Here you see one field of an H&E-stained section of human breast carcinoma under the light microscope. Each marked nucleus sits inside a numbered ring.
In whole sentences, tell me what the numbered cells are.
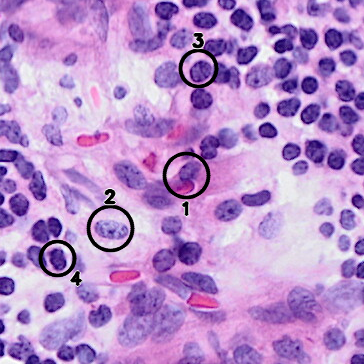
Cell 1 is an endothelial cell, cell 2 is a mast cell, cell 3 is a lymphocyte and cell 4 is a lymphocyte.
